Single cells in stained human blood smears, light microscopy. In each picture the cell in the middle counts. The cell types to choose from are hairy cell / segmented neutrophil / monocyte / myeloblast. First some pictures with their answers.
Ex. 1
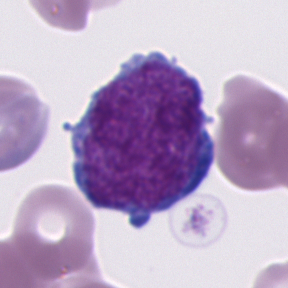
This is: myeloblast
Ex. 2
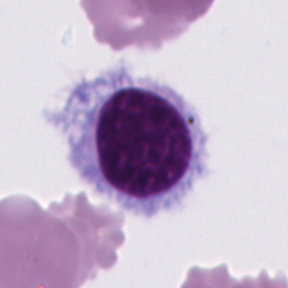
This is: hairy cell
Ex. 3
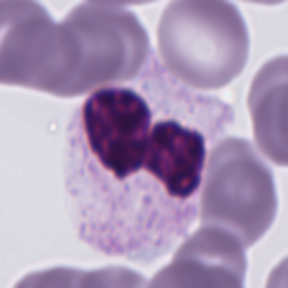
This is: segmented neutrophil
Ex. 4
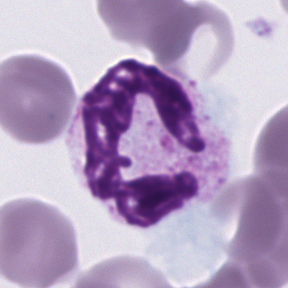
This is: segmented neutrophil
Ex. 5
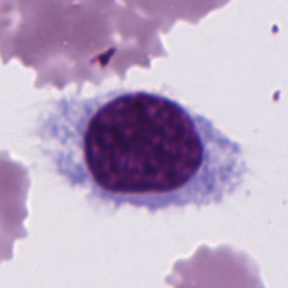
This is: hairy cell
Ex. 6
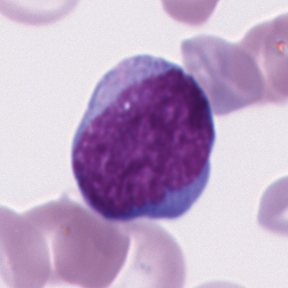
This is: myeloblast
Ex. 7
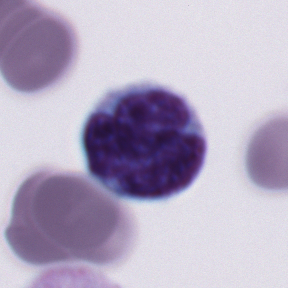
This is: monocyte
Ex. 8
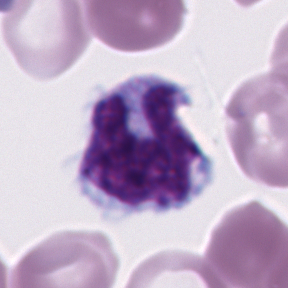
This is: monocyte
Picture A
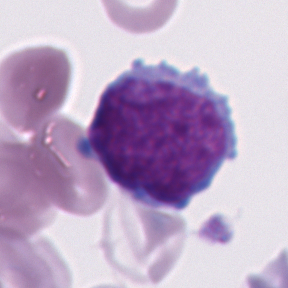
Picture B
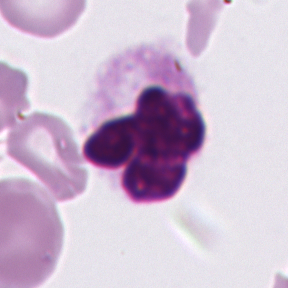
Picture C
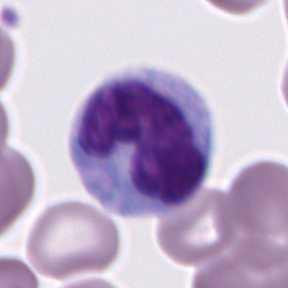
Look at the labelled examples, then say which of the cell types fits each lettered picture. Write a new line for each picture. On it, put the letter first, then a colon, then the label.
A: myeloblast
B: segmented neutrophil
C: monocyte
